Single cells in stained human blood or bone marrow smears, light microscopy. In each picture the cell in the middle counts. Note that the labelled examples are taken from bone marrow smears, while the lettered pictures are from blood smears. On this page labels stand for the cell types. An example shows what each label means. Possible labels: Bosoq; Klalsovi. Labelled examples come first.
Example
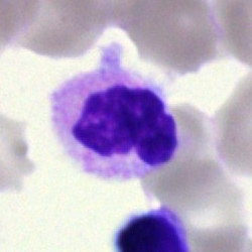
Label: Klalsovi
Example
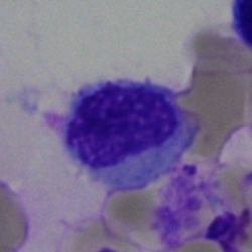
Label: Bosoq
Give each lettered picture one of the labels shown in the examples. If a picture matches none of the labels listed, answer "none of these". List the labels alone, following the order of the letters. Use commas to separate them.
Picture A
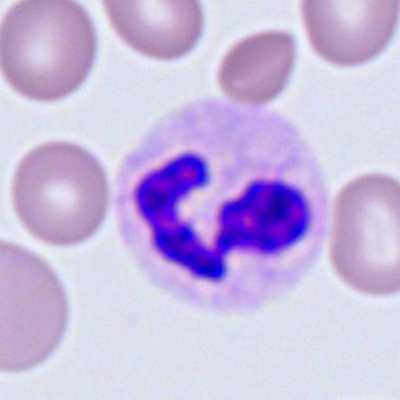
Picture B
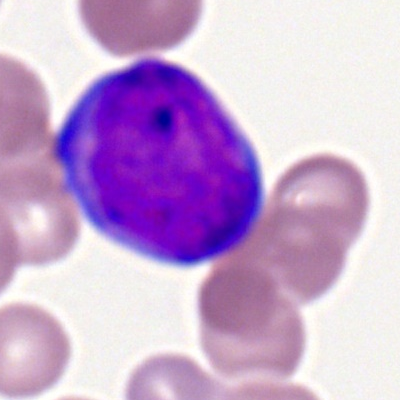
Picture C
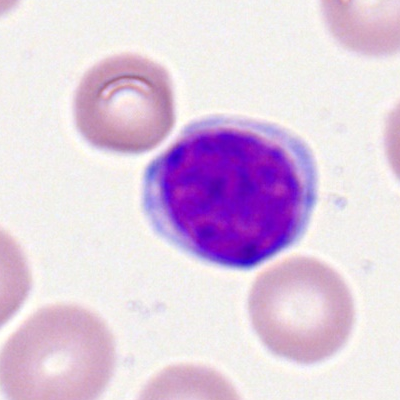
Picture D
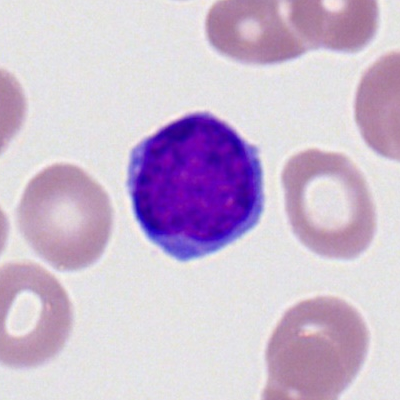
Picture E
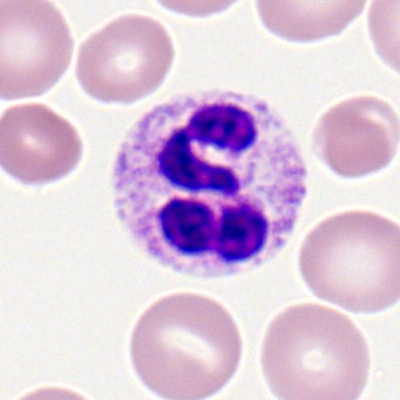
Klalsovi, none of these, Bosoq, Bosoq, Klalsovi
